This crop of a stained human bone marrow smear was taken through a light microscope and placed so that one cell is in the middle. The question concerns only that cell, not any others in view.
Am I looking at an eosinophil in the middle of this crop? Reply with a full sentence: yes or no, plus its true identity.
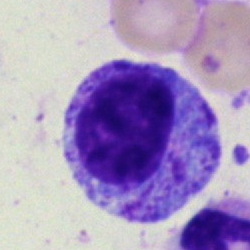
No, rather than being an eosinophil, the central cell is a myelocyte.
